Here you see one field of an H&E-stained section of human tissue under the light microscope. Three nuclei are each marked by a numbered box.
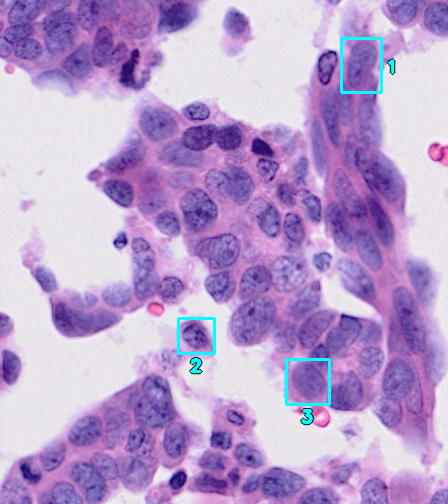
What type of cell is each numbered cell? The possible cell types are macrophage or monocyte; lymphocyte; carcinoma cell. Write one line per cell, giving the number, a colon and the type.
1: carcinoma cell
2: macrophage or monocyte
3: carcinoma cell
